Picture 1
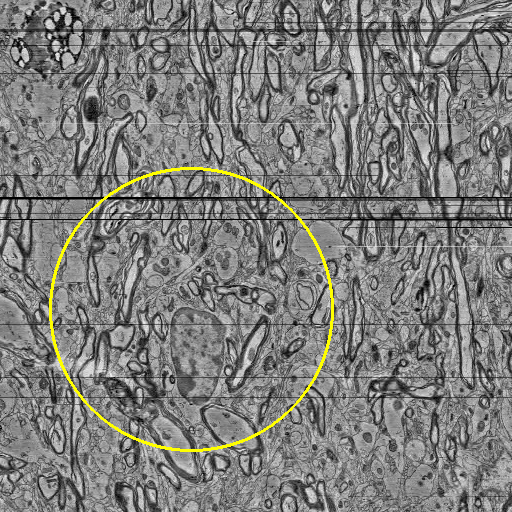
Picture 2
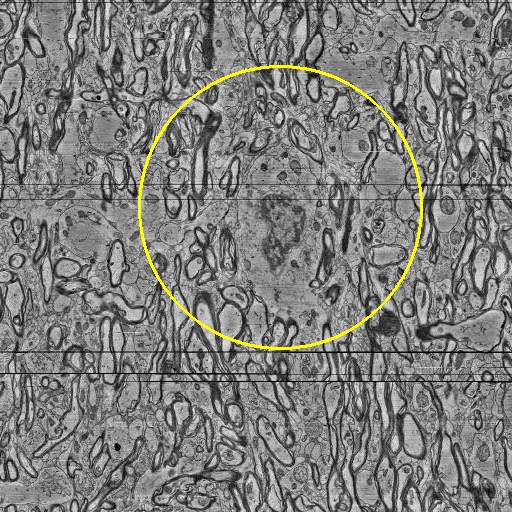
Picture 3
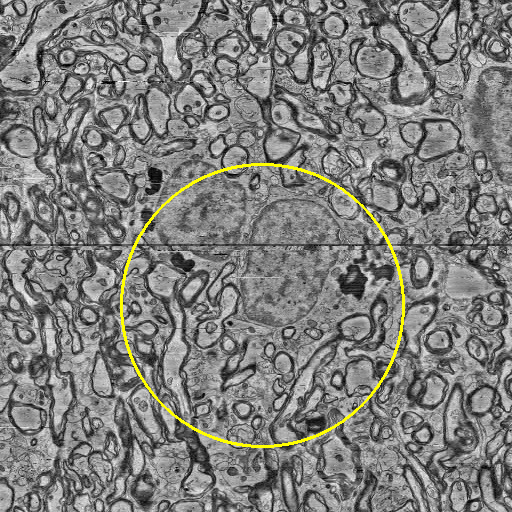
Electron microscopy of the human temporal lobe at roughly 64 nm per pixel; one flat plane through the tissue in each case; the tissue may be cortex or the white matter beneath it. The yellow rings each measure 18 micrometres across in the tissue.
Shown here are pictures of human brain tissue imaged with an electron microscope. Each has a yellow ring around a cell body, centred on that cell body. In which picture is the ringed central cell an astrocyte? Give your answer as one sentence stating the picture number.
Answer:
My answer is picture 2, where the ringed cell at the centre is the one sought.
